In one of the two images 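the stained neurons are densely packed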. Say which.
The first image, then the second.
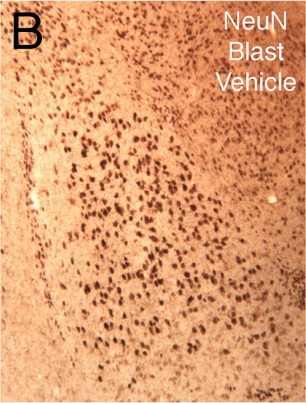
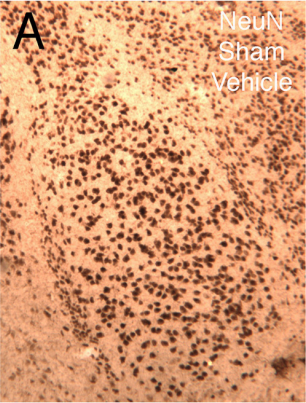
The second image.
